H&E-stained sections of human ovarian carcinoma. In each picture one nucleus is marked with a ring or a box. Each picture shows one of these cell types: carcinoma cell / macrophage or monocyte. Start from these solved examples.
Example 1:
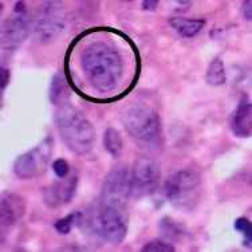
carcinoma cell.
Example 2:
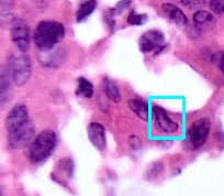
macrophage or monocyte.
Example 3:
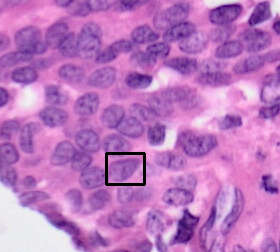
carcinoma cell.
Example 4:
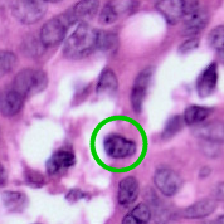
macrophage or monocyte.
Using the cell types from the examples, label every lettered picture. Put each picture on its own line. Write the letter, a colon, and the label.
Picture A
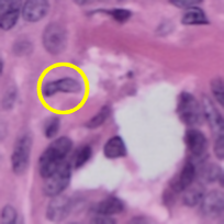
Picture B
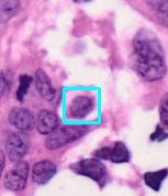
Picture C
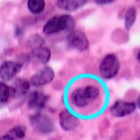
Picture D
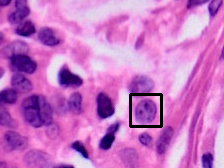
A: macrophage or monocyte.
B: carcinoma cell.
C: macrophage or monocyte.
D: macrophage or monocyte.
